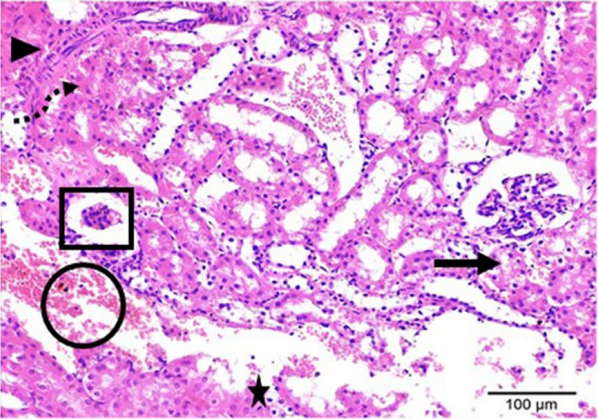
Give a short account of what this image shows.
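Damaged renal cortex with disorganised tubules, pools of blood and widened interstitium. Several tubules are dilated, and their lining cells show pale, vacuolated cytoplasm with small dark nuclei; in places the epithelium is thinned or shed into the lumen. A large collection of free red blood cells lies among the tubules, and blood-filled spaces are seen elsewhere. Streaks of pink fibrous tissue cross the upper corner.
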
